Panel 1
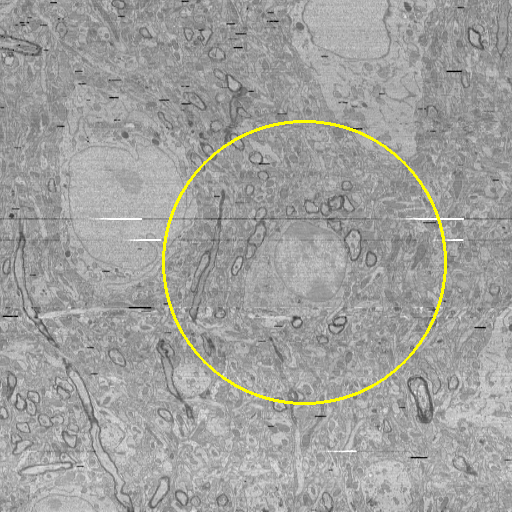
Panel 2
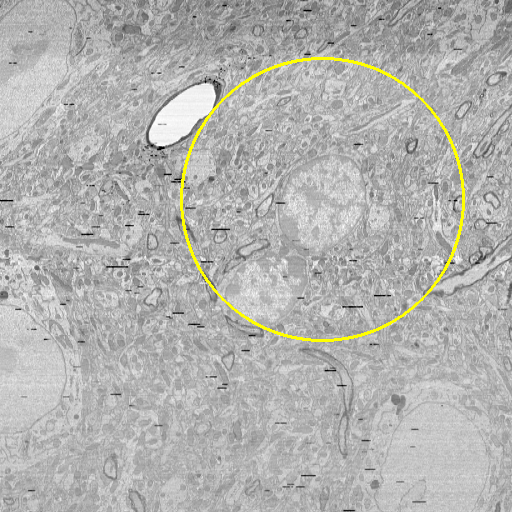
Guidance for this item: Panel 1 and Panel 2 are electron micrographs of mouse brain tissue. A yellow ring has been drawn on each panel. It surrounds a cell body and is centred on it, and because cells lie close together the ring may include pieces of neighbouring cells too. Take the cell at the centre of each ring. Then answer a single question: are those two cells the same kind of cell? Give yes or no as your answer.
yes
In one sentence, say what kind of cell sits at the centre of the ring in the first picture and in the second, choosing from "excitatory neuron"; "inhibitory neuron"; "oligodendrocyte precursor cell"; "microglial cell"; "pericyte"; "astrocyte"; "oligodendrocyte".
In each of the two pictures, the ringed cell is an oligodendrocyte.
